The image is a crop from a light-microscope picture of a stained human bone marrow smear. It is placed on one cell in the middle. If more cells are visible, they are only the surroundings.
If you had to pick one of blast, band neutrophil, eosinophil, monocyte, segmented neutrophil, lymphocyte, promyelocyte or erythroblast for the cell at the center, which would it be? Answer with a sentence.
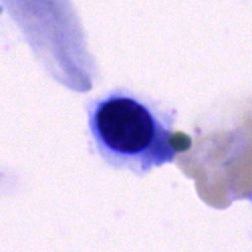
The cell the crop is centered on is an erythroblast.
